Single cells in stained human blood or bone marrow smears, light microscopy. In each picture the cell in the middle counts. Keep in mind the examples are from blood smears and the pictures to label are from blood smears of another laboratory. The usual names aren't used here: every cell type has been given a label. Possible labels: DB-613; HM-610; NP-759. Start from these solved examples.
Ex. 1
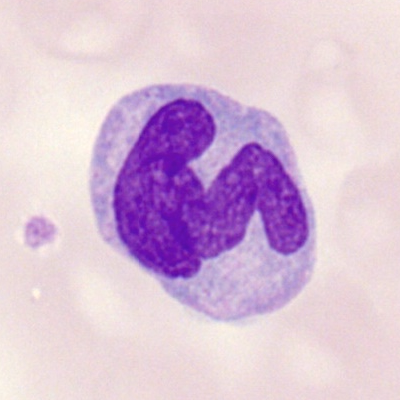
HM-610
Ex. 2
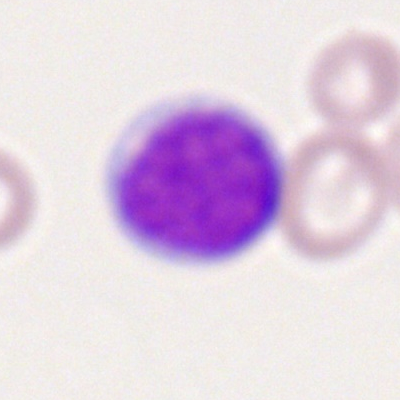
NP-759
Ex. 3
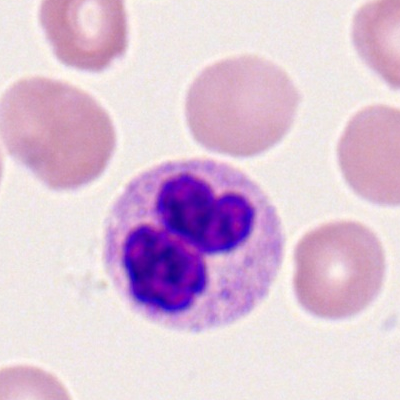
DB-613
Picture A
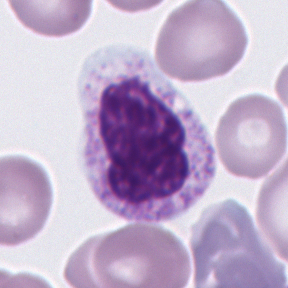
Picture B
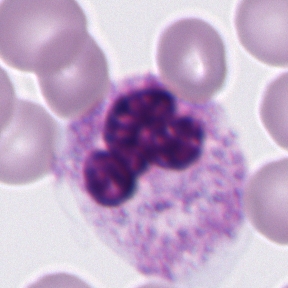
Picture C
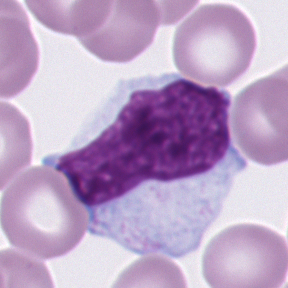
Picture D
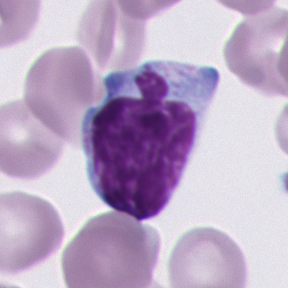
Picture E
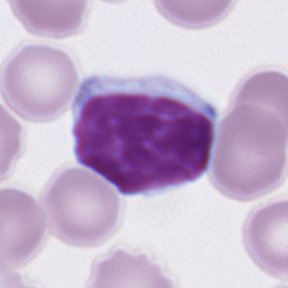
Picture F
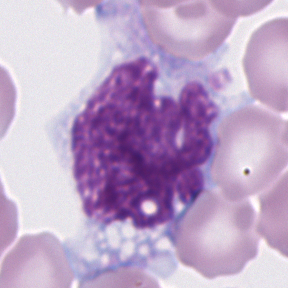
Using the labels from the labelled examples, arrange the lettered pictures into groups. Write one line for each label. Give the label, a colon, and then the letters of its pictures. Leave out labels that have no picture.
DB-613: A, B
HM-610: C, F
NP-759: D, E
